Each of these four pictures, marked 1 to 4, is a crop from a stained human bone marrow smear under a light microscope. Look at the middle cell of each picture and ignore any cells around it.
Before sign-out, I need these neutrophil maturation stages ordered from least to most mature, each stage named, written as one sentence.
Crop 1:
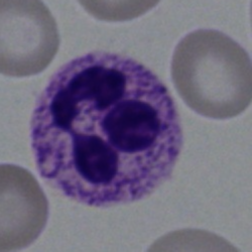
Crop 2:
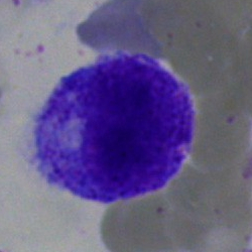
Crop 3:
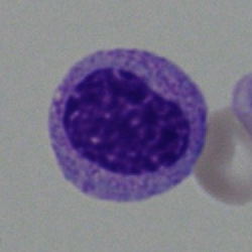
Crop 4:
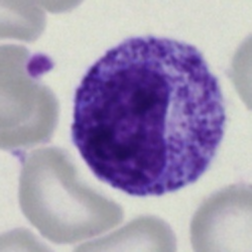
Maturity order, least to most: crop 2 (a promyelocyte), crop 4 (a myelocyte), crop 3 (a metamyelocyte) and crop 1 (a segmented neutrophil).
